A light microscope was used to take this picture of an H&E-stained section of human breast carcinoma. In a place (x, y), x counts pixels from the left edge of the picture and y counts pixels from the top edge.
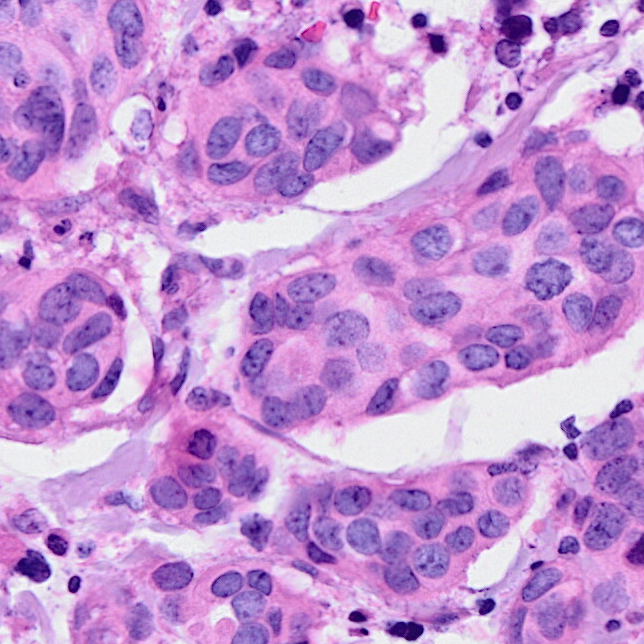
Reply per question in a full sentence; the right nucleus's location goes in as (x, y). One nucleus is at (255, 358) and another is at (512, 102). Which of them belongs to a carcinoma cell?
The nucleus whose position is (255, 358) belongs to a carcinoma cell.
